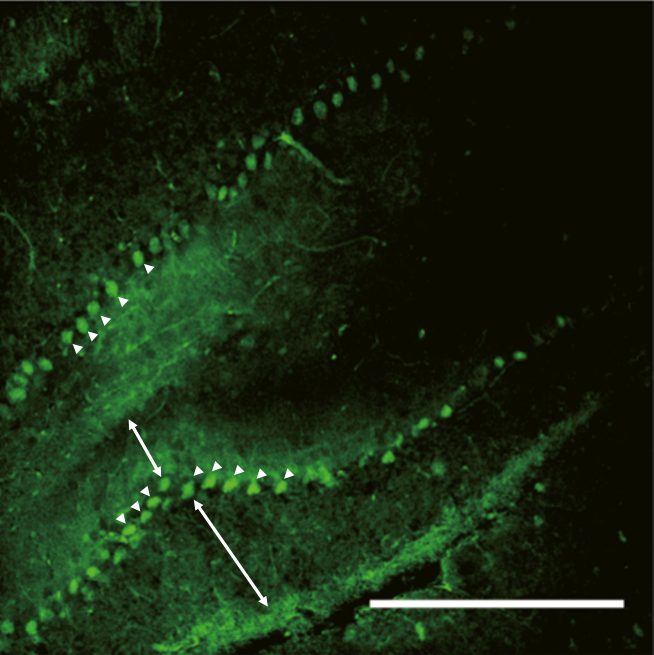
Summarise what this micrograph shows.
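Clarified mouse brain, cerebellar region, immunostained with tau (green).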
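On one side of the row is a sparsely cellular molecular layer that reaches a bright band. The granular layer lies on the other side of the row.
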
